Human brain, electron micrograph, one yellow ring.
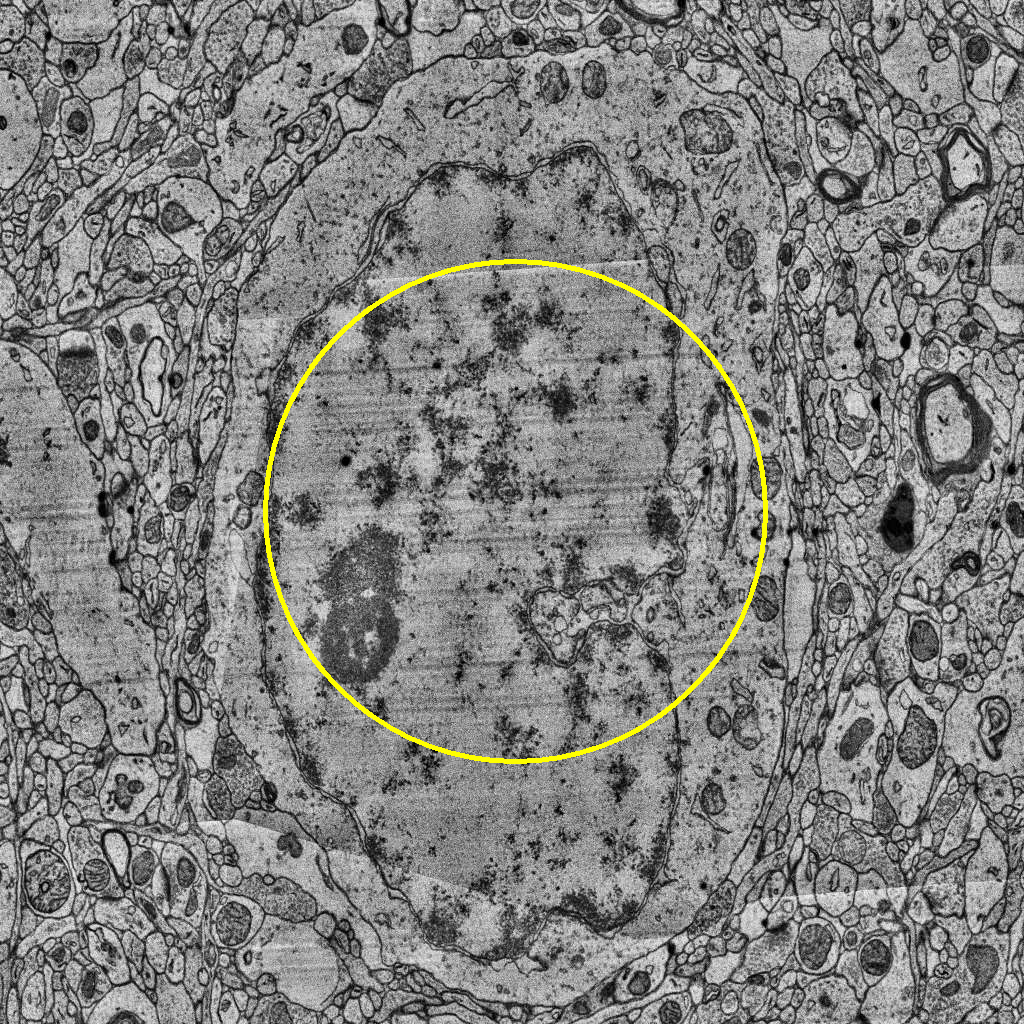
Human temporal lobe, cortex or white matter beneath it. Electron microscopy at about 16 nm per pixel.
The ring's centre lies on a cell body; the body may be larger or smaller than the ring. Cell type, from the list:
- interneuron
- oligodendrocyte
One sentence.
The yellow ring's centre lies on an interneuron.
